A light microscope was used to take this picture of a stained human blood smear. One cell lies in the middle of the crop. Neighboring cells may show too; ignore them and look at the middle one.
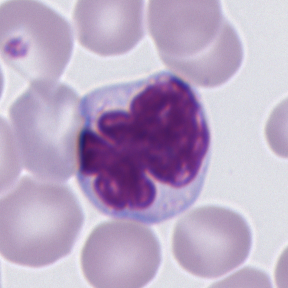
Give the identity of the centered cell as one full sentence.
The central cell in this smear crop is a large granular lymphocyte.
